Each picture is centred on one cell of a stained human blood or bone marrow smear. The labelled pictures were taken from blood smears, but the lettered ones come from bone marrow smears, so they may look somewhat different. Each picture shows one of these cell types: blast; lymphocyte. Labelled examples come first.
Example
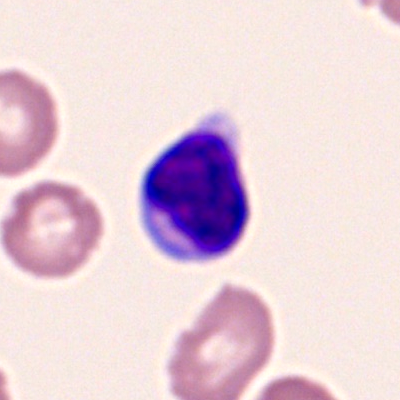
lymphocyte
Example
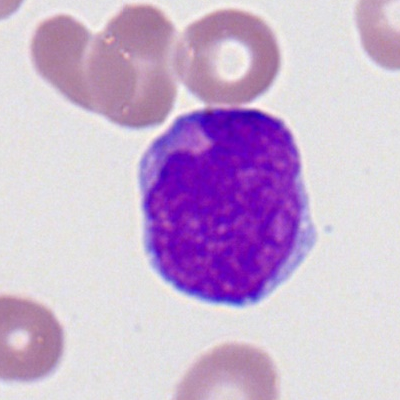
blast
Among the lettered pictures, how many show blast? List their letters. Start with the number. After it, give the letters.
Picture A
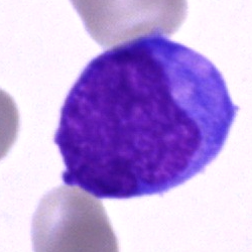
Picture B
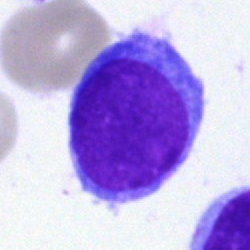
2, namely A, B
